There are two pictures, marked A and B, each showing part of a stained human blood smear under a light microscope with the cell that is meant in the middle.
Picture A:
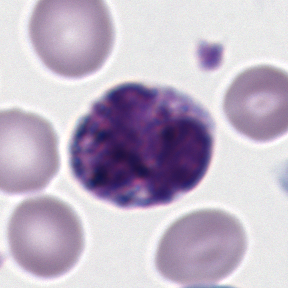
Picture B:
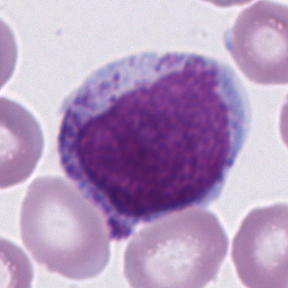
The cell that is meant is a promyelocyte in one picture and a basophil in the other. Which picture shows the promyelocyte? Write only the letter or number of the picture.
B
